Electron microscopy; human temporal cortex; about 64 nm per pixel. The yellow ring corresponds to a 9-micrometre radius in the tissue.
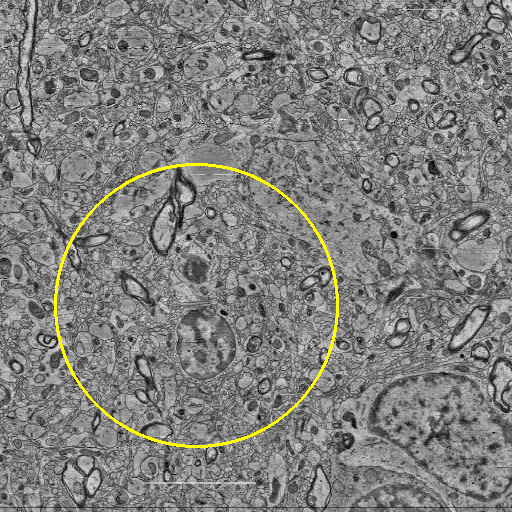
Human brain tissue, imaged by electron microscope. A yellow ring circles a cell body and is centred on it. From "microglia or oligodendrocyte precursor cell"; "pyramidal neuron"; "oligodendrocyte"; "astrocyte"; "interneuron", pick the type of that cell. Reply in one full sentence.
The cell body at the centre of the yellow ring belongs to a microglial cell or oligodendrocyte precursor cell.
